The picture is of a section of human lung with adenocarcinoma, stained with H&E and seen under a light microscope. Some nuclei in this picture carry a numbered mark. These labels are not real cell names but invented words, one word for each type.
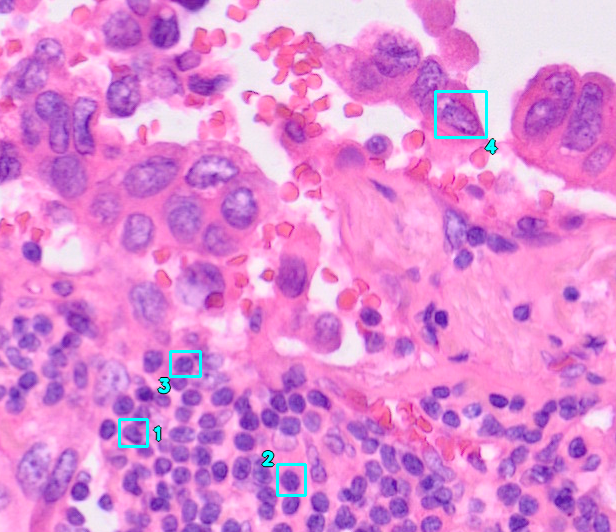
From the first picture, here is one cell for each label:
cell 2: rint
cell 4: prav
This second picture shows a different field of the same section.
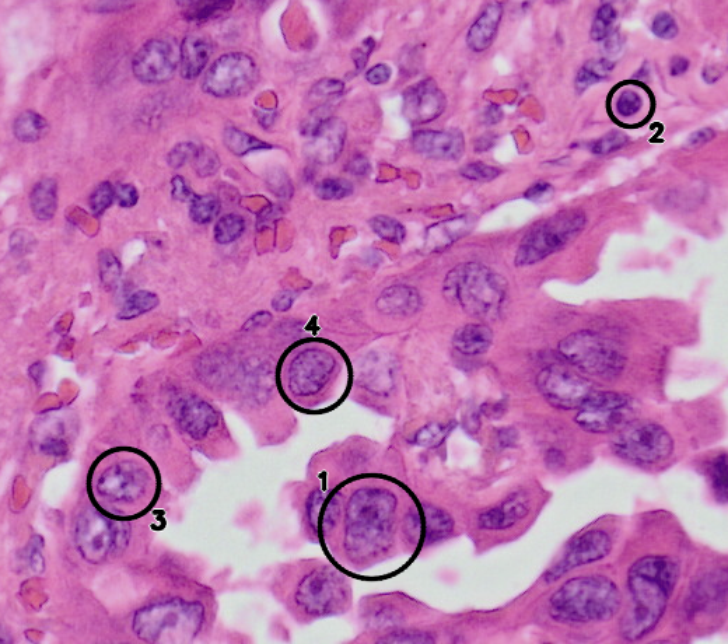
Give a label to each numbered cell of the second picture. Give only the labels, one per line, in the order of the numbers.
prav
rint
prav
prav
